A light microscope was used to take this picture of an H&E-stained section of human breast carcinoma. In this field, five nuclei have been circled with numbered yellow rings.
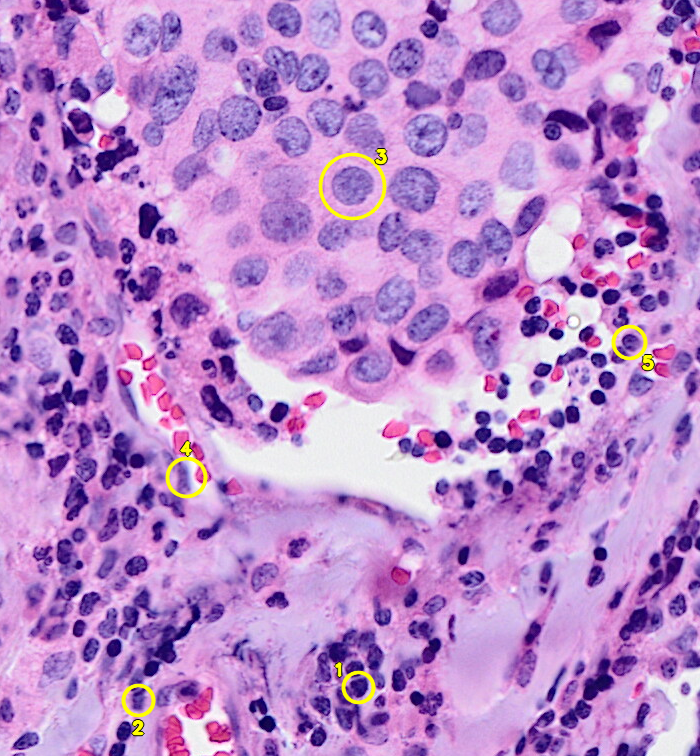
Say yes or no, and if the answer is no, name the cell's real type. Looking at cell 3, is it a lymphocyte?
No, it is a carcinoma cell.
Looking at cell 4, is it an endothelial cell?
Yes.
